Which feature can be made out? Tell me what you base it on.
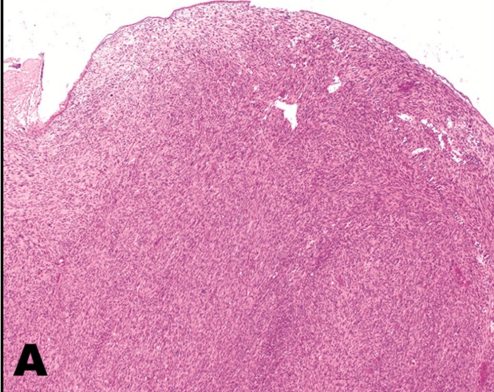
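Polypoid neoplasm. A dome-shaped mass bulges upward. A thin epithelial layer covers its surface.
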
